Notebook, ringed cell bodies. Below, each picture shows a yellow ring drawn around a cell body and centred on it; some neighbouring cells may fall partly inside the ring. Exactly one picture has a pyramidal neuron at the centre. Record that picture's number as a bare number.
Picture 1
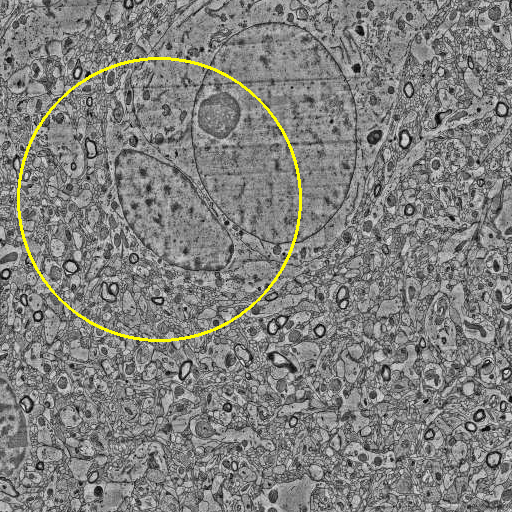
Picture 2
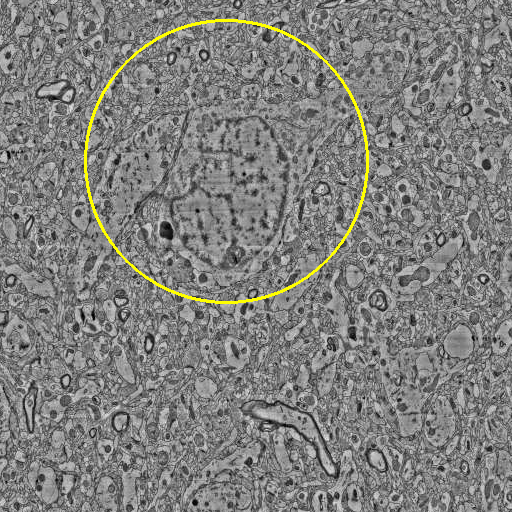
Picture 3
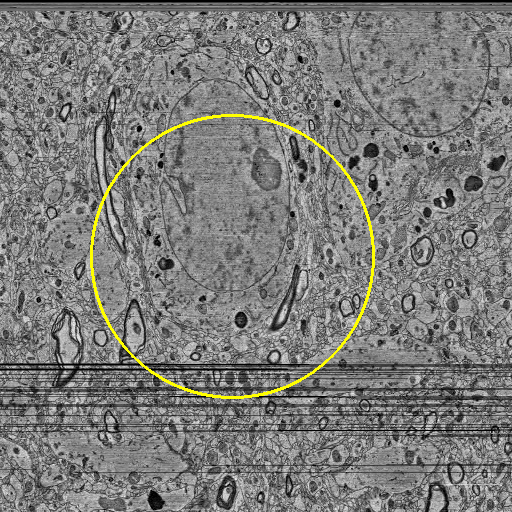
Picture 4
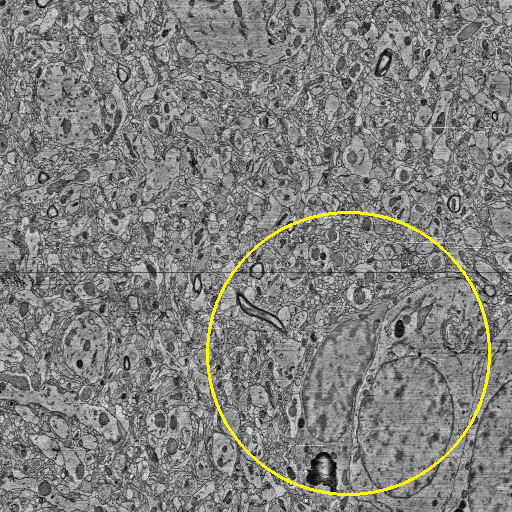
3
